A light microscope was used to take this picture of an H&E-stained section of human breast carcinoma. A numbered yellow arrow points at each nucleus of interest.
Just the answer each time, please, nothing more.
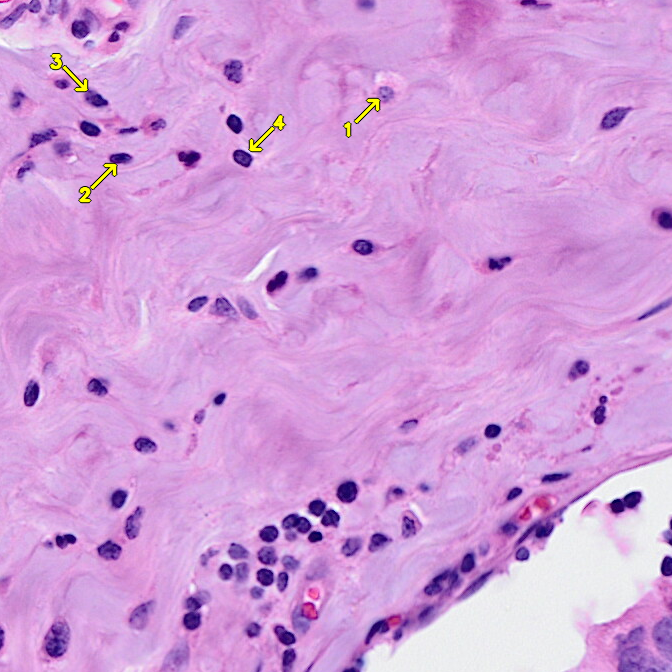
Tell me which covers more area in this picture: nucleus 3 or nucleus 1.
3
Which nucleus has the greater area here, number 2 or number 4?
4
